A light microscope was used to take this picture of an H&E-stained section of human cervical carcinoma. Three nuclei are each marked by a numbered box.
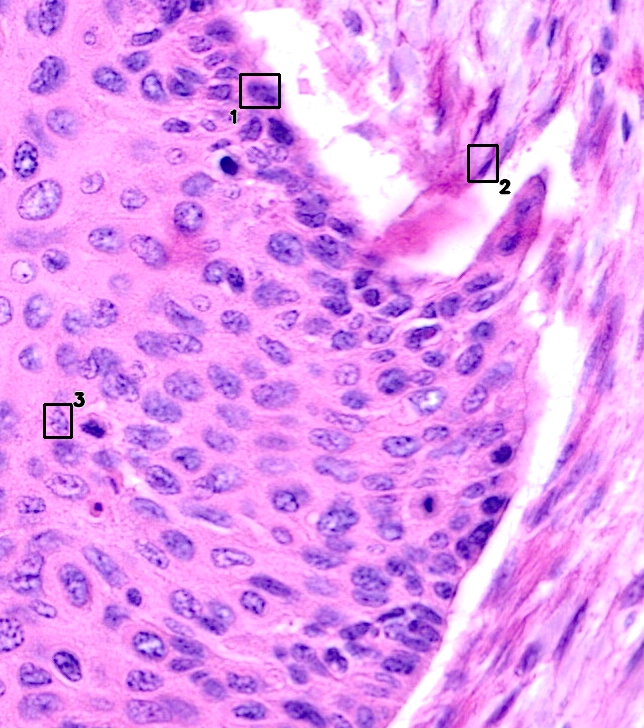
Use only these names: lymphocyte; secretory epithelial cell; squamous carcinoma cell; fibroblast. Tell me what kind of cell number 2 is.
fibroblast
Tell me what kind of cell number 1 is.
squamous carcinoma cell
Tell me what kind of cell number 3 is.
squamous carcinoma cell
